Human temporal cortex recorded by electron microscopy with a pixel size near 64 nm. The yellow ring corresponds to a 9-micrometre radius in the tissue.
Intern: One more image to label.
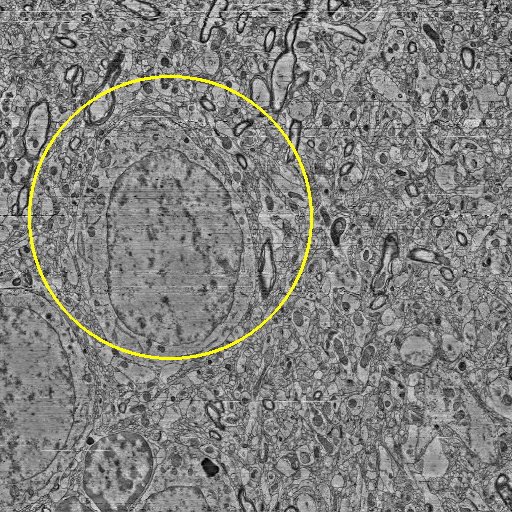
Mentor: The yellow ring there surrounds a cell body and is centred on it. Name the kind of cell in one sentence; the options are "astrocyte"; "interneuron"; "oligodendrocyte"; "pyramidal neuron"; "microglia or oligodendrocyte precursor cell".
The ring marks the cell body of a pyramidal neuron.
